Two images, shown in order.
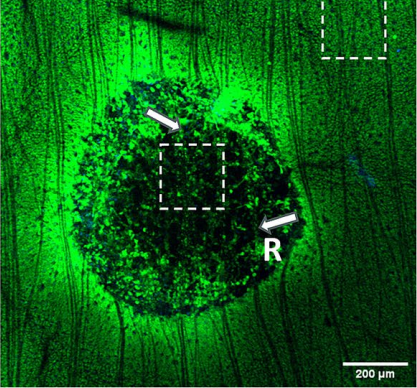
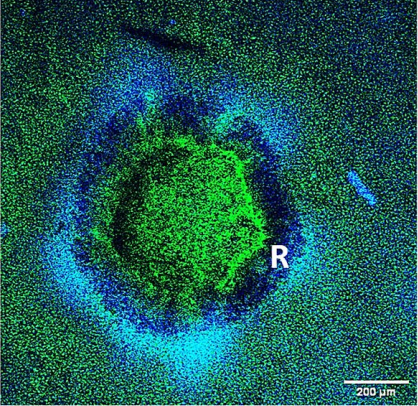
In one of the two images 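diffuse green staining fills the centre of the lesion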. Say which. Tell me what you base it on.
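First image: the centre of the round zone is mostly dark with scattered green specks. Second image: the centre of the round zone is filled with a diffuse green patch. The answer: the second image.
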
